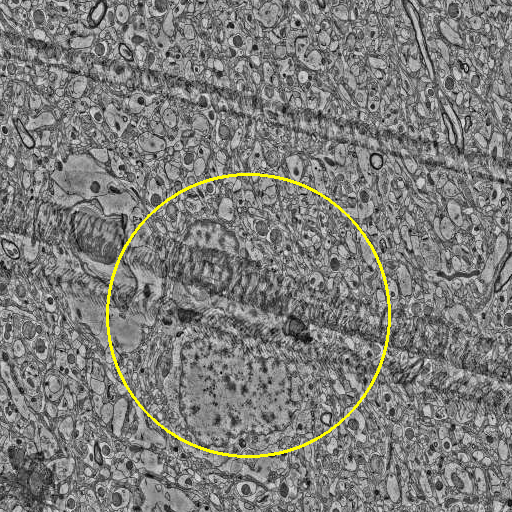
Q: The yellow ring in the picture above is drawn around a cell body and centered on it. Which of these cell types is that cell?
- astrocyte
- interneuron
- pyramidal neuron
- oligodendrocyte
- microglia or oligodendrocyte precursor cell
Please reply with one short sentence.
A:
The cell body at the ring's center belongs to an oligodendrocyte.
